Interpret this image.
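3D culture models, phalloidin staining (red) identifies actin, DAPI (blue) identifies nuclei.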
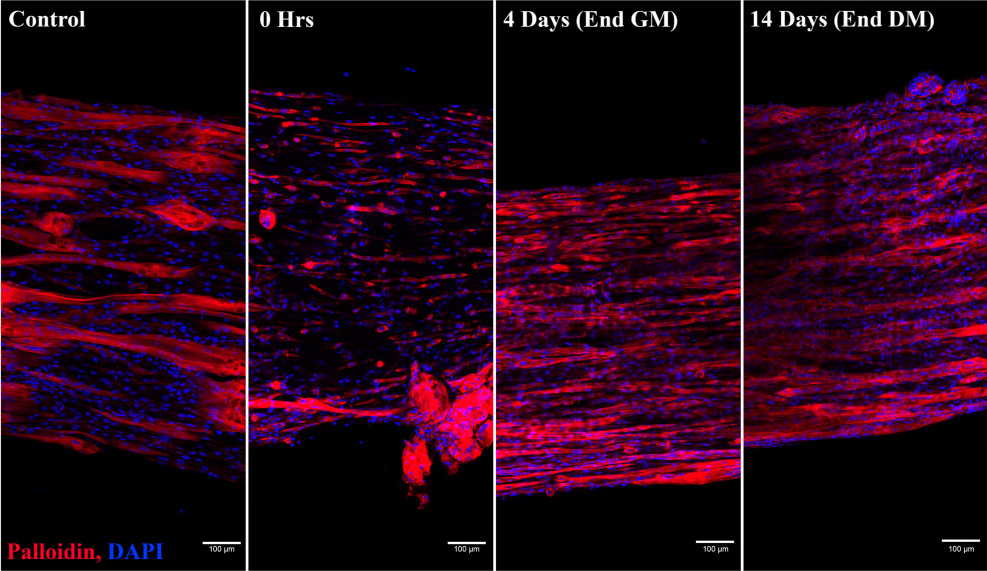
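The myotubes are long, unbranched and run roughly parallel along the strip, some broad and bright, others thin and faint. In the second strip the red tubes are sparse, thin and short, with rounded red clumps among them. In the two right-hand strips the red tubes are packed densely and are narrower than the broad tubes in the leftmost strip.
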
